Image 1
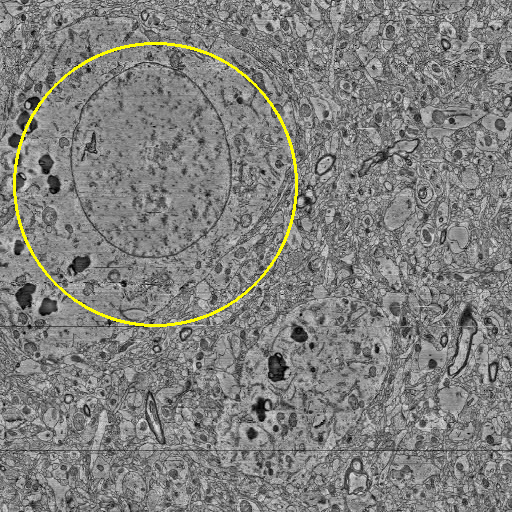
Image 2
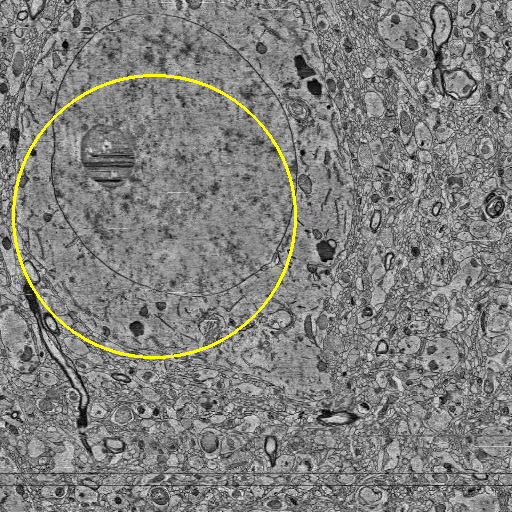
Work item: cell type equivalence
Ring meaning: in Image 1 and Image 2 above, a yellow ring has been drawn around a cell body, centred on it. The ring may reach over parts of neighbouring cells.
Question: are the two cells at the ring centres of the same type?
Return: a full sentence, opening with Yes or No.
Yes, the two centred cells are of the same type.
